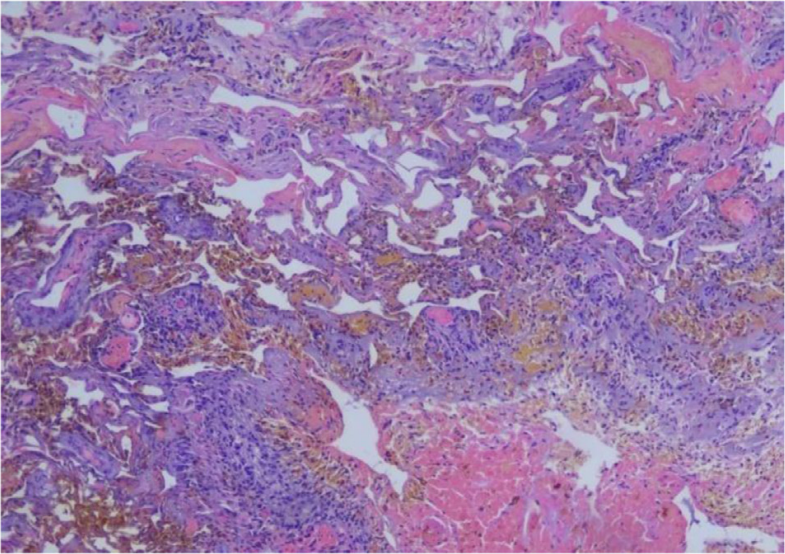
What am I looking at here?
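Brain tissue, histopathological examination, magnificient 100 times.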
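Low-power view of tissue crowded with irregular, thin-walled vascular spaces, some with thick glassy pink walls. A large pool of red blood cells lies at the bottom, and brown-golden pigment is scattered among the channels and denser cellular areas.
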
